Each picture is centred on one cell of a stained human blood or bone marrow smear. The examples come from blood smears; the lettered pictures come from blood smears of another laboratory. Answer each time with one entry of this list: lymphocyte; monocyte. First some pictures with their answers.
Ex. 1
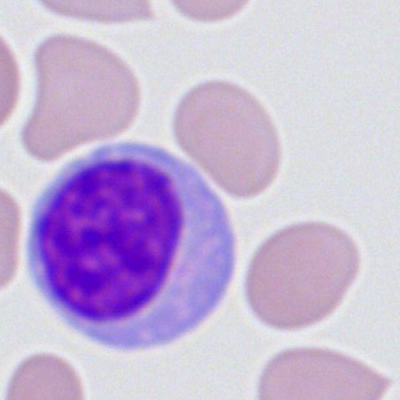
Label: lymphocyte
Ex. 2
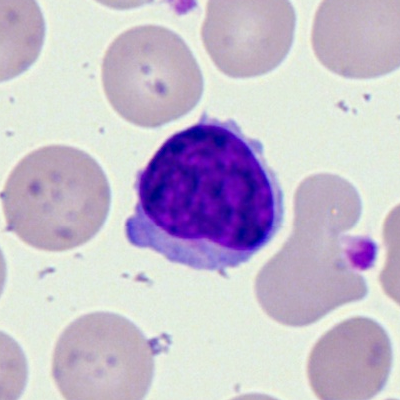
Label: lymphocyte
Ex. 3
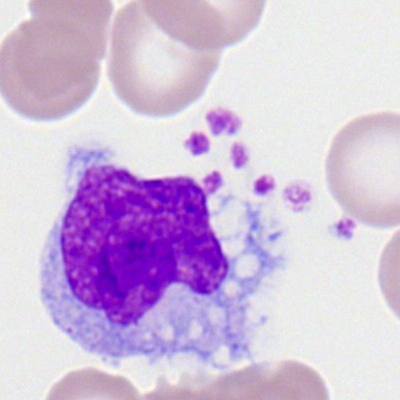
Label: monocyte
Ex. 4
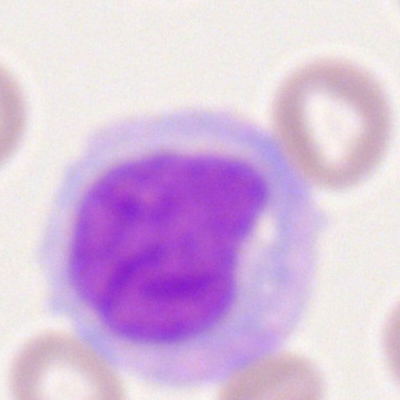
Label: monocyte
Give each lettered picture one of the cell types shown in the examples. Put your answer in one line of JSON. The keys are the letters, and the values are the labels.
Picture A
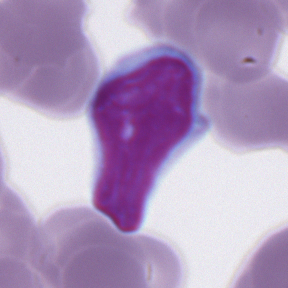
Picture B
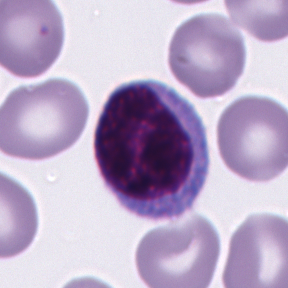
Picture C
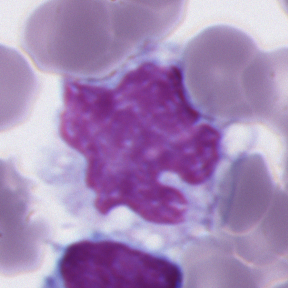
{"A": "lymphocyte", "B": "lymphocyte", "C": "monocyte"}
